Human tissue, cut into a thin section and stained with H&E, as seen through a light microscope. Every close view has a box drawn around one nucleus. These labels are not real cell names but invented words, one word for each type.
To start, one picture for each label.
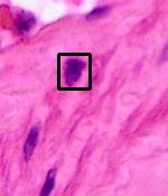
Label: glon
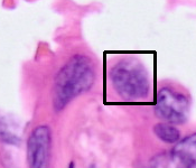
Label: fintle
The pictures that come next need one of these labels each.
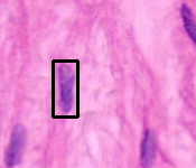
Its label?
glon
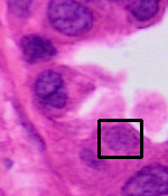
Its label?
fintle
